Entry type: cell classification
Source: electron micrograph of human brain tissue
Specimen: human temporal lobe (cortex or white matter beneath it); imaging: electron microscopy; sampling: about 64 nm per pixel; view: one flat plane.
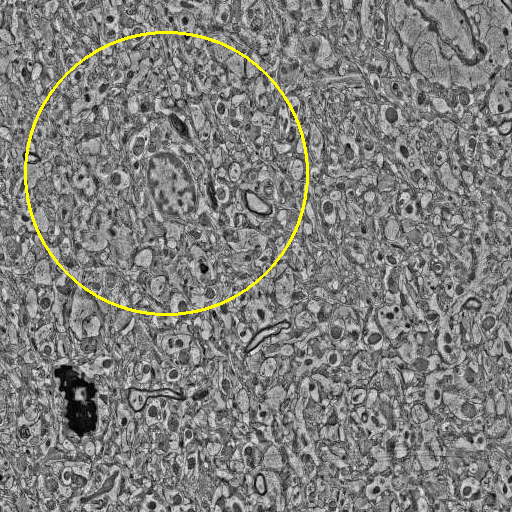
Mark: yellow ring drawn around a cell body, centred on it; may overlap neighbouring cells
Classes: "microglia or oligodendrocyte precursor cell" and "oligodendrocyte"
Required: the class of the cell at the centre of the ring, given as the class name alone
microglia or oligodendrocyte precursor cell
